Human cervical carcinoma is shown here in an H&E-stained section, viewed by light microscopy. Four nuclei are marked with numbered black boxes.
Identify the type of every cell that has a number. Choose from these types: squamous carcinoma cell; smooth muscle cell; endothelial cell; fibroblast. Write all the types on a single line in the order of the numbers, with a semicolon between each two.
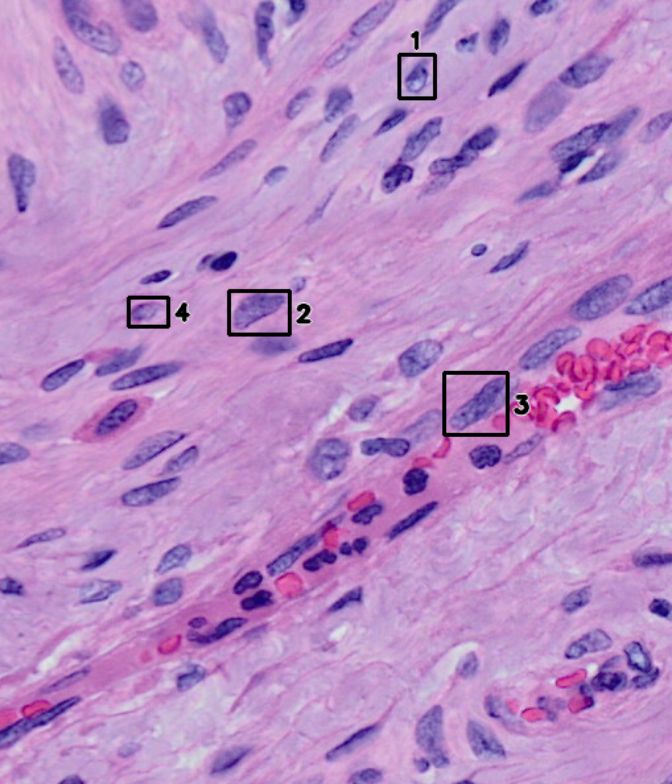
fibroblast; fibroblast; endothelial cell; smooth muscle cell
